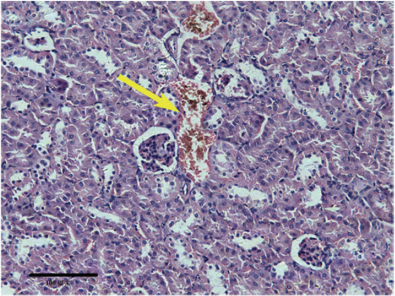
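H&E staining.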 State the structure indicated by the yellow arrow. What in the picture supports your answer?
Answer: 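Channels packed with red-brown erythrocytes. They lie between tubules and glomeruli. That points to this answer: renal vessels.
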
